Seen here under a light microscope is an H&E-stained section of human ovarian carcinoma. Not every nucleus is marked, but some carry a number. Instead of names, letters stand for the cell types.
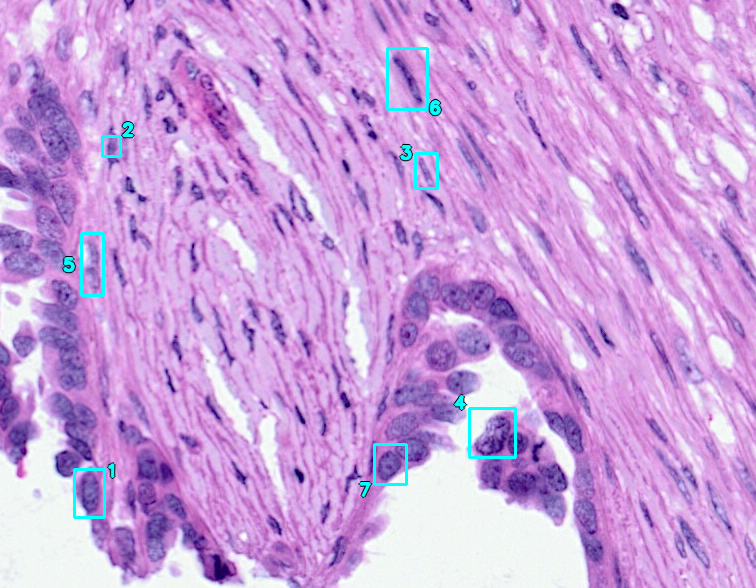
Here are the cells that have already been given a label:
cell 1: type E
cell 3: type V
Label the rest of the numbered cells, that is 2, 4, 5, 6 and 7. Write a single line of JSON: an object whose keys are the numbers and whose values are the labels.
{"2": "type V", "4": "type E", "5": "type V", "6": "type V", "7": "type E"}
